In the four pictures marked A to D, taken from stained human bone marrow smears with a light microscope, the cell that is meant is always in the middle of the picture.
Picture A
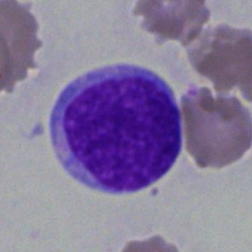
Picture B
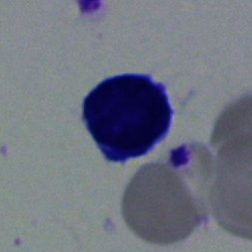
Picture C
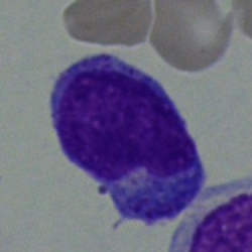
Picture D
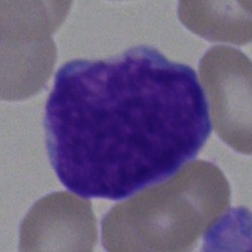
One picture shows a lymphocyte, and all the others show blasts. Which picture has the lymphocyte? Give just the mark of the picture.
B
